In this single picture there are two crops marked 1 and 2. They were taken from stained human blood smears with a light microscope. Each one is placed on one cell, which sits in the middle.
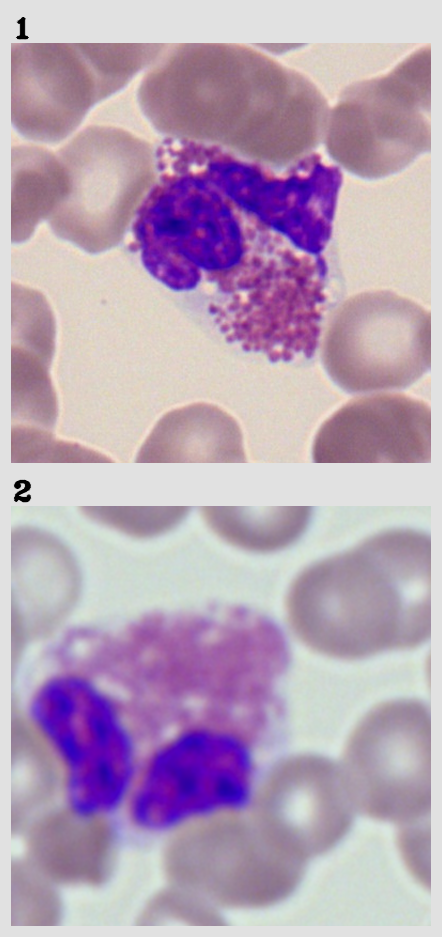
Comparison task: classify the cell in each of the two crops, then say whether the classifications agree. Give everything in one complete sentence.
Yes, both crops show a cell each, and these are eosinophils.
